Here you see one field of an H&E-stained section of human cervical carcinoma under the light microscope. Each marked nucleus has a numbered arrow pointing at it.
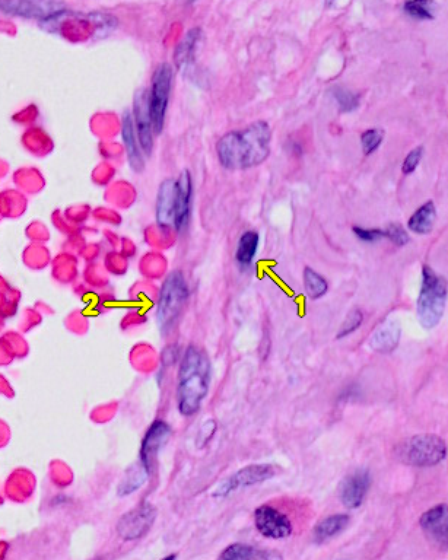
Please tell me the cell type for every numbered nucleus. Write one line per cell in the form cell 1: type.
cell 1: lymphocyte
cell 2: endothelial cell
